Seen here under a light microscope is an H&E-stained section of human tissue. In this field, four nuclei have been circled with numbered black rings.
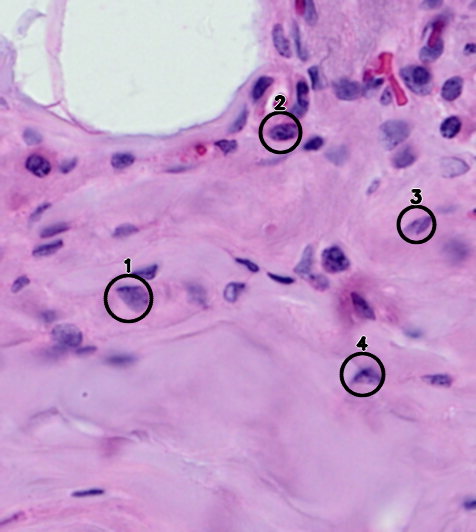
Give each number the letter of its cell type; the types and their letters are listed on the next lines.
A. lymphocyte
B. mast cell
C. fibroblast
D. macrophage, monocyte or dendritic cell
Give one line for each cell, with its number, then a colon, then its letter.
1: C
2: B
3: C
4: C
